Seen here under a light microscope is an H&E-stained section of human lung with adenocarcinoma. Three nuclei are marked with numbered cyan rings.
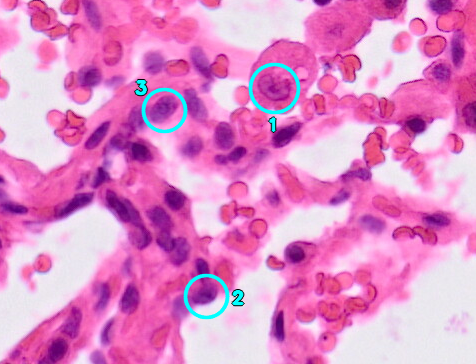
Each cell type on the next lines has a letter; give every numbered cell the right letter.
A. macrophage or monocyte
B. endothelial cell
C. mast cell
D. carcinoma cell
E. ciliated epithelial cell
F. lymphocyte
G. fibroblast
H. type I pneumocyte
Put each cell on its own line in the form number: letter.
1: A
2: H
3: H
